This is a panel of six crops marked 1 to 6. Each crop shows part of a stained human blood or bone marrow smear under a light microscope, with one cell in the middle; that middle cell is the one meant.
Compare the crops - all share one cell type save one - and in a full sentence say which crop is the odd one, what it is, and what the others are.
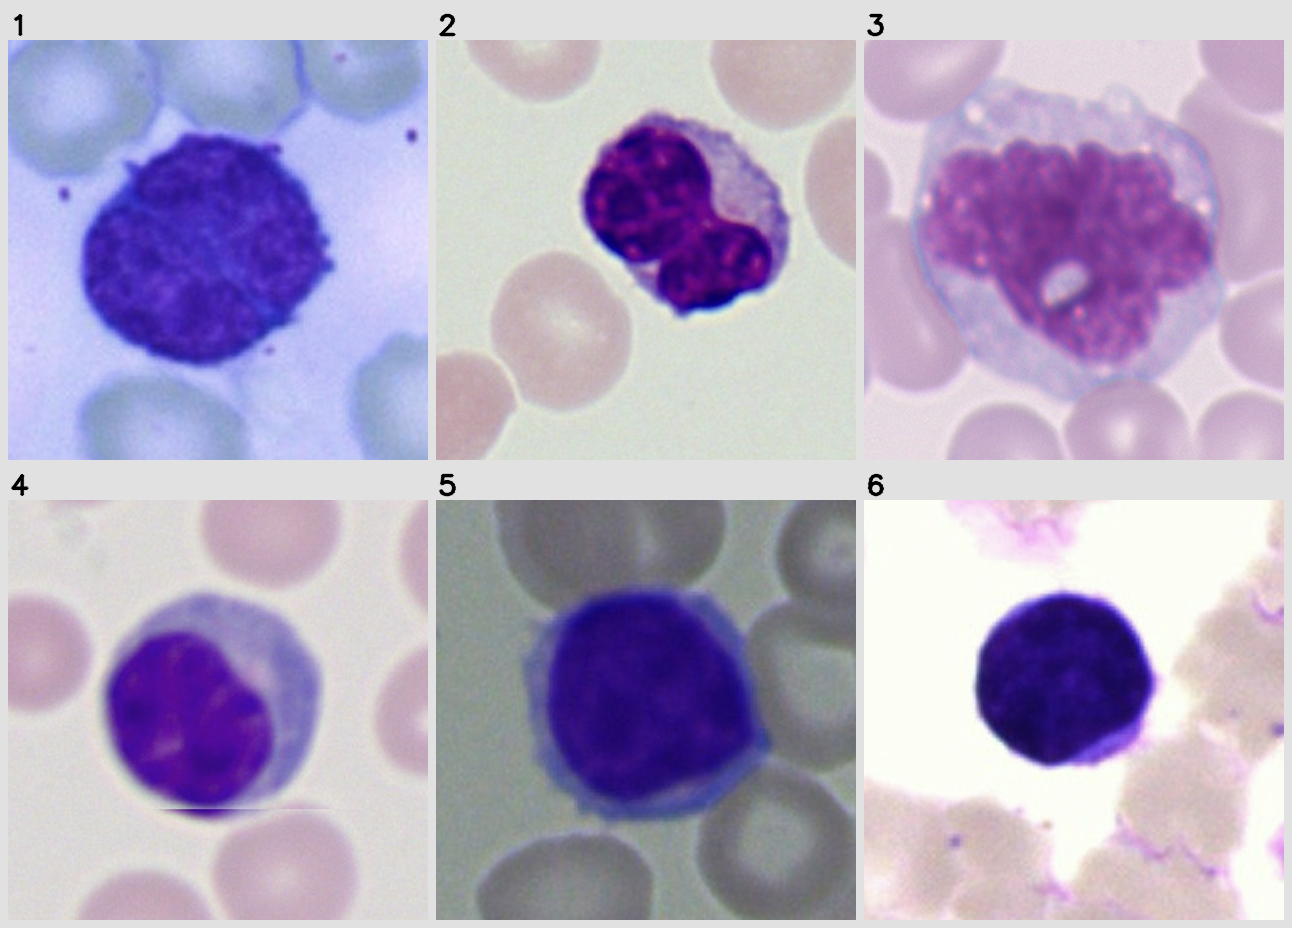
Crop 3 is the one that is a monocyte, and the other crops all show lymphocytes.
